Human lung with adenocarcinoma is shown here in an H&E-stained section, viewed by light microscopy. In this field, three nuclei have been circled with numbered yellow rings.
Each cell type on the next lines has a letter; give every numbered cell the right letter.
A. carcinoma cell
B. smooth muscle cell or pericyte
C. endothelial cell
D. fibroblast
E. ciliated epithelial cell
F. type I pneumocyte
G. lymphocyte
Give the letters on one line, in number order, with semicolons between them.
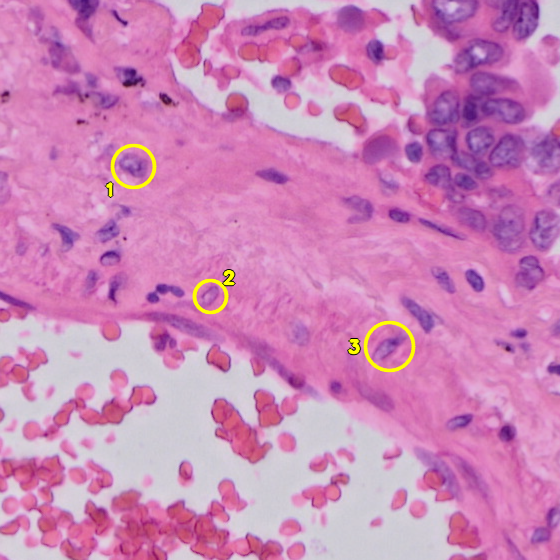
D; B; B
